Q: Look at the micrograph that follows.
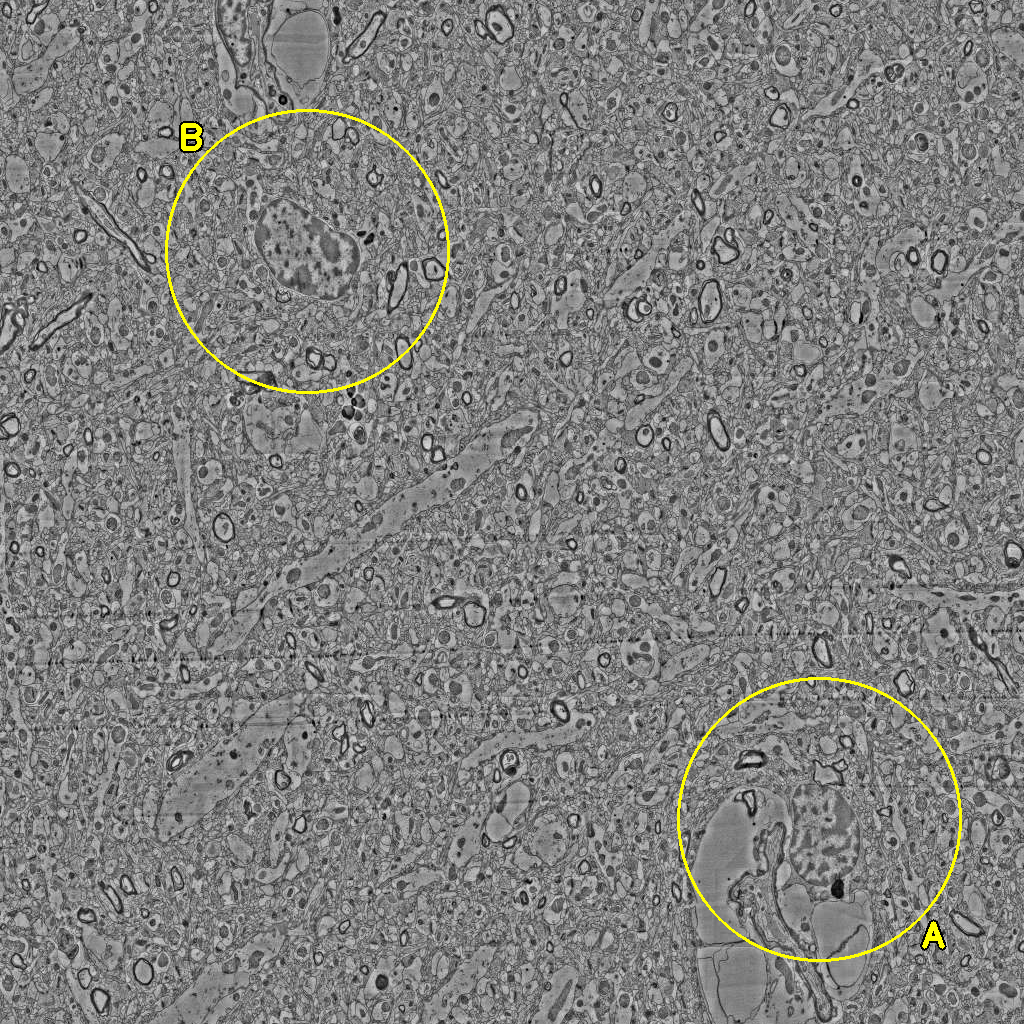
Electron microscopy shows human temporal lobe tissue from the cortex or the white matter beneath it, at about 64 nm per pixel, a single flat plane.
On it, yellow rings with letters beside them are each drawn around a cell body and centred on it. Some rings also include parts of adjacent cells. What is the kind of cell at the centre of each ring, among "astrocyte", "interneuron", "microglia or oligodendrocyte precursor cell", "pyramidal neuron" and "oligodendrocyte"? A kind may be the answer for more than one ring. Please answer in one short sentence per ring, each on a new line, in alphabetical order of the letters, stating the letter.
Ring A surrounds the cell body of an oligodendrocyte.
Ring B surrounds the cell body of a microglial cell or oligodendrocyte precursor cell.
